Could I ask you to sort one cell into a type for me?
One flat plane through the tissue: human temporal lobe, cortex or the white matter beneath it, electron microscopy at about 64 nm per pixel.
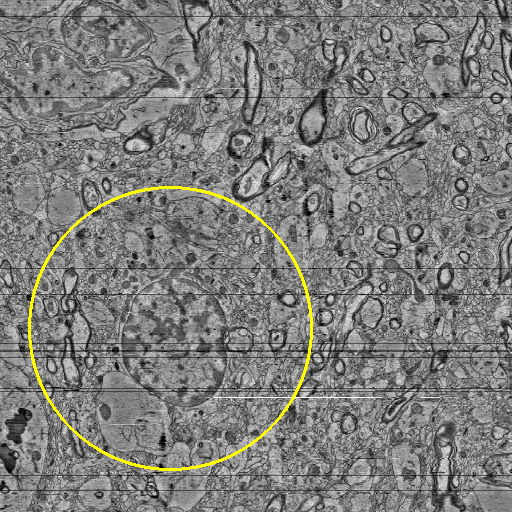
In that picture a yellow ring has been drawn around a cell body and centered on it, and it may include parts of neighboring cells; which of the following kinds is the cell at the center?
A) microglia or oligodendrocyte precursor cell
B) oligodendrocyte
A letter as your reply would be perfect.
A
